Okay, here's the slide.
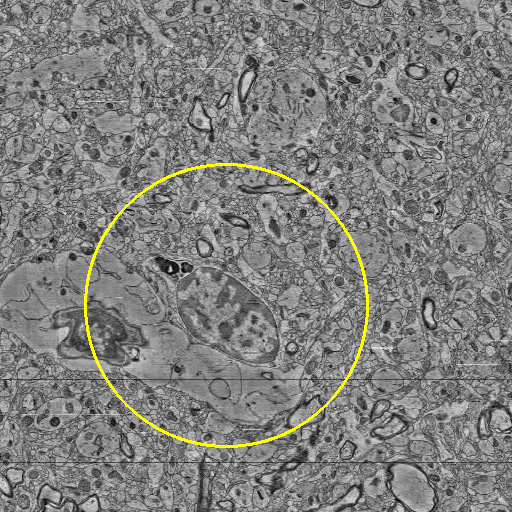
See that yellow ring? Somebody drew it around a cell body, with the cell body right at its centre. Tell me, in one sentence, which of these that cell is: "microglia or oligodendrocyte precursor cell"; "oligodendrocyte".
The cell in the middle of the ring is a microglial cell or oligodendrocyte precursor cell.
